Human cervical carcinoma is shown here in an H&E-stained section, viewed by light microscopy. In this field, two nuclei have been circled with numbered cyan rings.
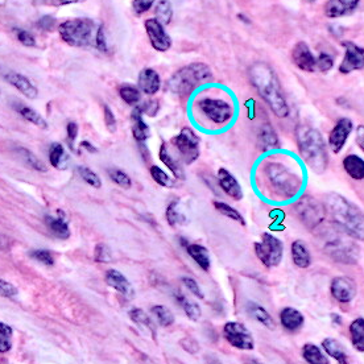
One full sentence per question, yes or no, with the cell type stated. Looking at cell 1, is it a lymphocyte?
Yes, the cell shown as number 1 is a lymphocyte.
